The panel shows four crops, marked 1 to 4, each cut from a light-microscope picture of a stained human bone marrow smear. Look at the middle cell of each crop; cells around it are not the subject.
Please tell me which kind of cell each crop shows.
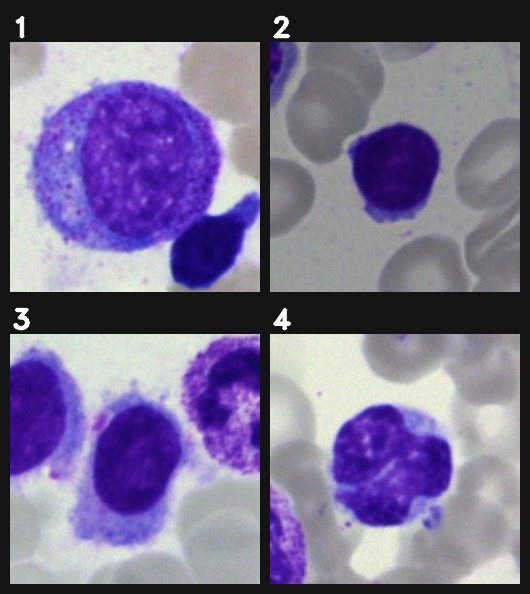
1: promyelocyte
2: lymphocyte
3: hairy cell
4: monocyte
